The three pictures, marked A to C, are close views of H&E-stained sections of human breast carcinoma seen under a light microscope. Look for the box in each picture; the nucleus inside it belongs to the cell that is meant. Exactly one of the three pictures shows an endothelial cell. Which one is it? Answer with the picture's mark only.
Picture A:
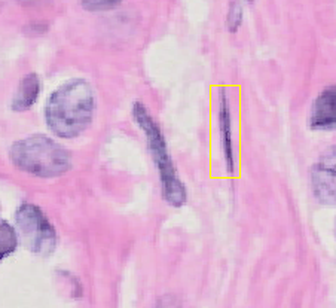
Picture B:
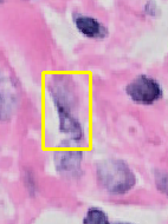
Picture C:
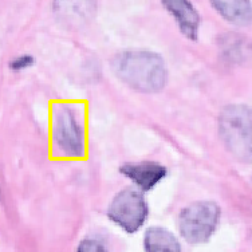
C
